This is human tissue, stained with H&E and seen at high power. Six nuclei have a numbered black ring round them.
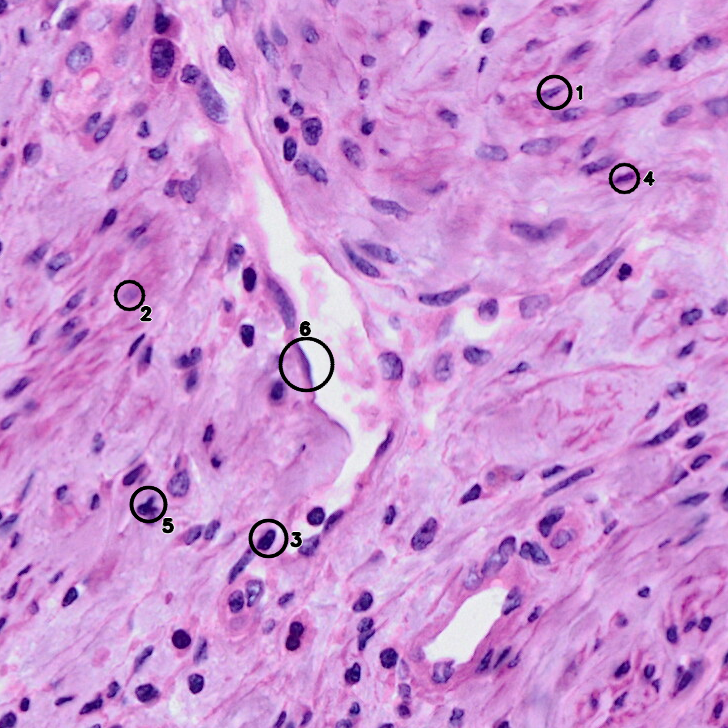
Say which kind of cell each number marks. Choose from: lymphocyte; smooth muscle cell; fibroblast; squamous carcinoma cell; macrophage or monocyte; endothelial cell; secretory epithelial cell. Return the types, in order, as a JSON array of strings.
["smooth muscle cell", "smooth muscle cell", "lymphocyte", "smooth muscle cell", "lymphocyte", "endothelial cell"]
